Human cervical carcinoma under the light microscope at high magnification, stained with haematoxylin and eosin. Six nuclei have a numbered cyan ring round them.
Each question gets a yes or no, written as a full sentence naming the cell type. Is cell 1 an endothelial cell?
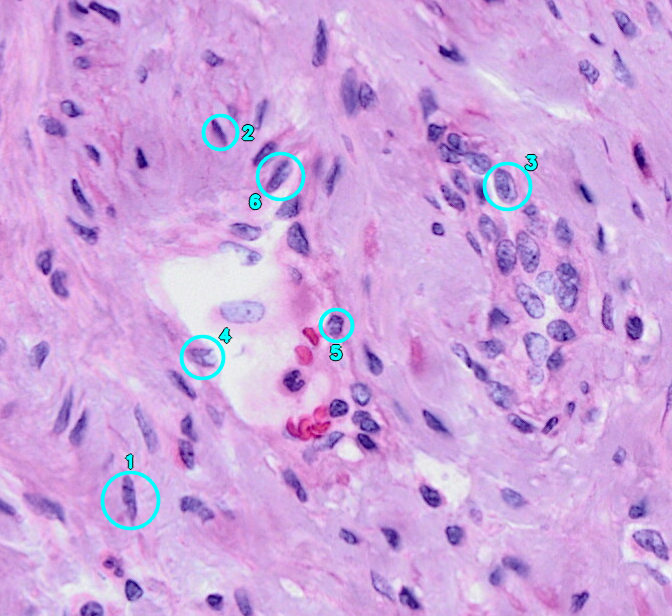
No, sorry, the cell labelled 1 is not an endothelial cell; it is a fibroblast.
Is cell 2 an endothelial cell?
No, number 2 corresponds to a smooth muscle cell, not an endothelial cell.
